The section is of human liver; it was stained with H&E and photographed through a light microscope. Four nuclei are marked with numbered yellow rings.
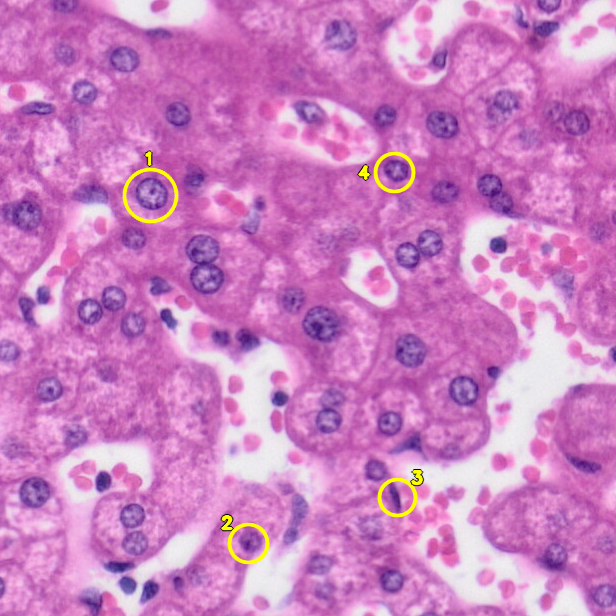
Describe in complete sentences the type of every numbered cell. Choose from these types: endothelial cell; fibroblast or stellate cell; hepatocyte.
Cell 1 is a hepatocyte, cell 2 is a hepatocyte, cell 3 is a fibroblast or stellate cell and cell 4 is a hepatocyte.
